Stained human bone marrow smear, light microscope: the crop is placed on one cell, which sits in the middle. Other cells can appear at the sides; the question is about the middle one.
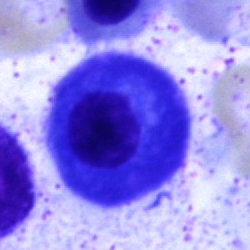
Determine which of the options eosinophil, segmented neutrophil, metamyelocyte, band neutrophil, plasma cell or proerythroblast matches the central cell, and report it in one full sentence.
The crop centres on a single cell, and that cell is a plasma cell.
